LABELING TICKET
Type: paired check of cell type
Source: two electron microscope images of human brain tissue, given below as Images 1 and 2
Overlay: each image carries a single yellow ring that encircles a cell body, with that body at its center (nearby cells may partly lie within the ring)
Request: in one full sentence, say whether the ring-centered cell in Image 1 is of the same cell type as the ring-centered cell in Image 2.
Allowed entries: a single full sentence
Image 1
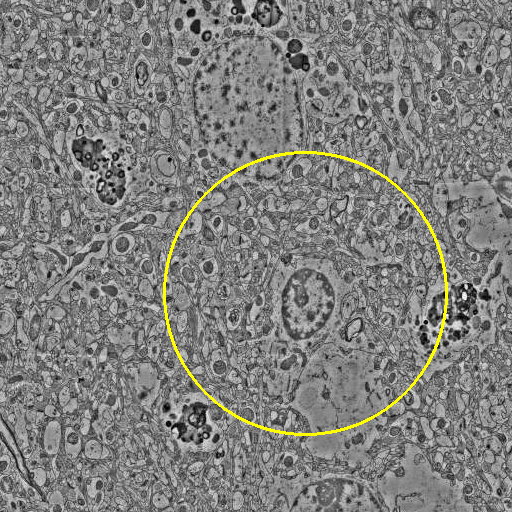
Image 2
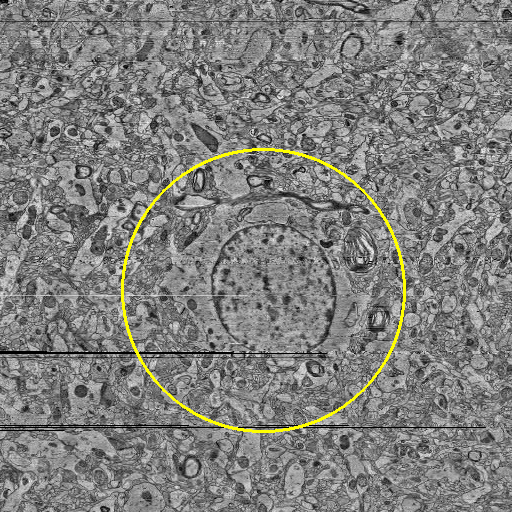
Yes, the cells centered in the rings of Image 1 and Image 2 share one type.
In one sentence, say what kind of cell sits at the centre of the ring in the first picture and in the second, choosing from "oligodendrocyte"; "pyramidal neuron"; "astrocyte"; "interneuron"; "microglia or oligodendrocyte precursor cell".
Each of the two rings is centred on an astrocyte.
